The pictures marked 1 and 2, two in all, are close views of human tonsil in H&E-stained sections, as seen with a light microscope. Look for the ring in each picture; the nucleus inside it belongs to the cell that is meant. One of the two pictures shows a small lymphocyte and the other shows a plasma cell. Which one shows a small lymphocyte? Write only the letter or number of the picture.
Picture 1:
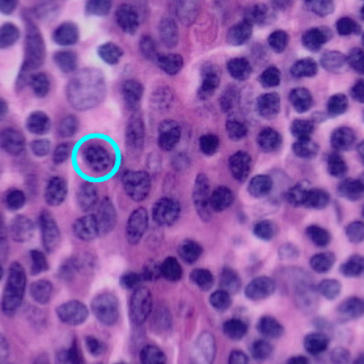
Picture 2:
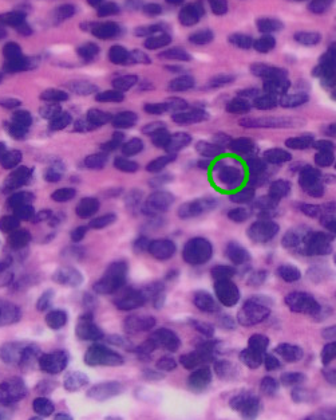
2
